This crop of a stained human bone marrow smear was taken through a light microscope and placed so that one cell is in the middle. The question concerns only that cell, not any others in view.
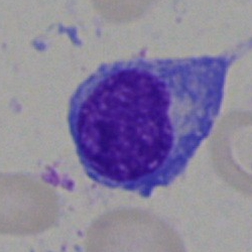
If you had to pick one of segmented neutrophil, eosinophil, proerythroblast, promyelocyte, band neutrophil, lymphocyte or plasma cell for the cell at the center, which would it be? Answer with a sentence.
Regarding the central cell, it is a plasma cell.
